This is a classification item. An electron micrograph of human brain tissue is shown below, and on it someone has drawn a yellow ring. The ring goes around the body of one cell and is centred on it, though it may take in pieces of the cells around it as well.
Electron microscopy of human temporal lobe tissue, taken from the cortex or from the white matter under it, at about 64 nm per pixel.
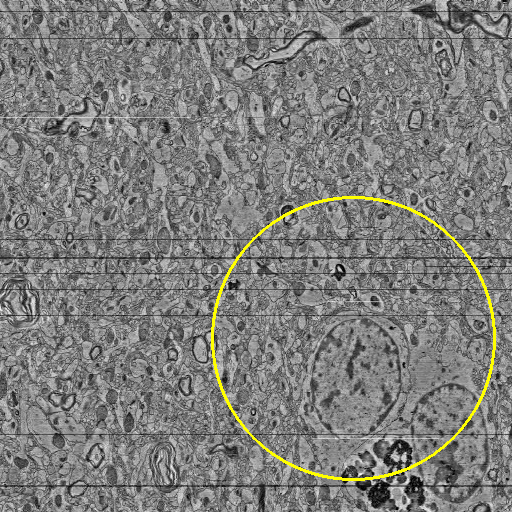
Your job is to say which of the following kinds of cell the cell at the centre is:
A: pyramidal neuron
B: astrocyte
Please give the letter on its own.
B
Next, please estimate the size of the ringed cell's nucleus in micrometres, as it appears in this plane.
Approximately 8 x 6 micrometres in this plane.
